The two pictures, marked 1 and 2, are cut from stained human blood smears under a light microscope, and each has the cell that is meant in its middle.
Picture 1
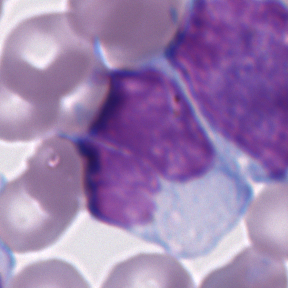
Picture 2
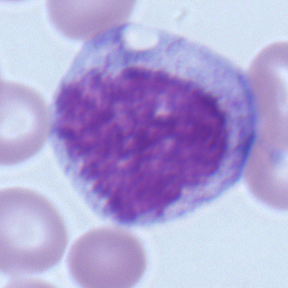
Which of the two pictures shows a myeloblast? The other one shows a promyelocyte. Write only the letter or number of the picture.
1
